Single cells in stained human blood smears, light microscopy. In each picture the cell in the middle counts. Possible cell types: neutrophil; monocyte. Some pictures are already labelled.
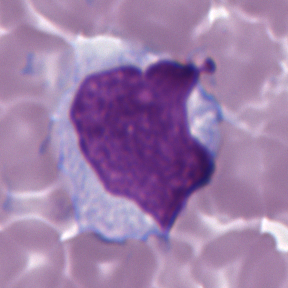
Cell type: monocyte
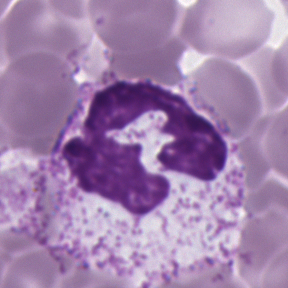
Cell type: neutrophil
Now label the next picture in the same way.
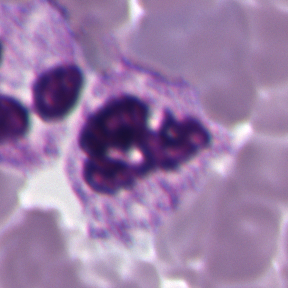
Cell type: neutrophil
